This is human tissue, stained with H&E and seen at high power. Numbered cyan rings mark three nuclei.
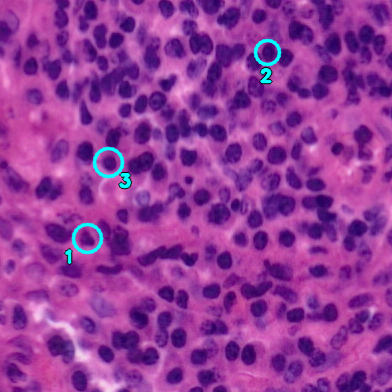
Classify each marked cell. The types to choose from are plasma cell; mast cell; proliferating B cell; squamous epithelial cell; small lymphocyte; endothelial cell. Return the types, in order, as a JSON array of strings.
["squamous epithelial cell", "plasma cell", "plasma cell"]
